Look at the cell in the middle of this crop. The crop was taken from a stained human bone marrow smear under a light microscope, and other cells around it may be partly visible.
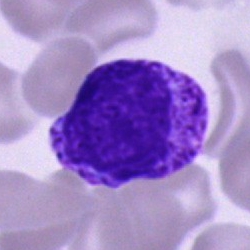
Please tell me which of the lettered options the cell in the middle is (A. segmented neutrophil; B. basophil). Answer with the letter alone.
B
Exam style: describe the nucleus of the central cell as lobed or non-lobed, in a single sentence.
In this cell the nucleus is a solitary compact mass, round, oval or kidney-shaped.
